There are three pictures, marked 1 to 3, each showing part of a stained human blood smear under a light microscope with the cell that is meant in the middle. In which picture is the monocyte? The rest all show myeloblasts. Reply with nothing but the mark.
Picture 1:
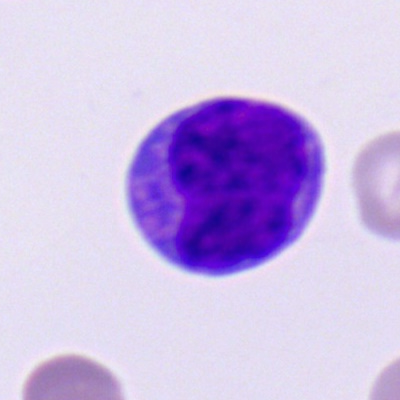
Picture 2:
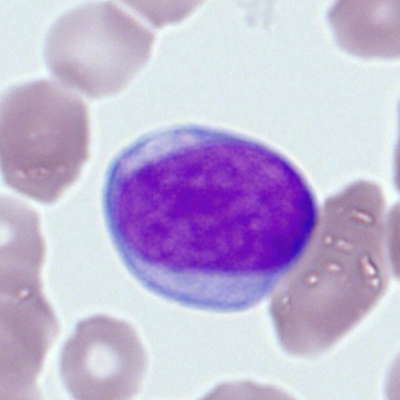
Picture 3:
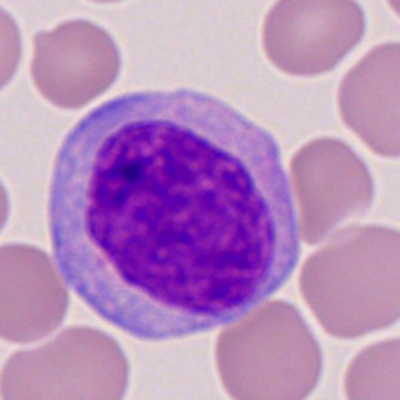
3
